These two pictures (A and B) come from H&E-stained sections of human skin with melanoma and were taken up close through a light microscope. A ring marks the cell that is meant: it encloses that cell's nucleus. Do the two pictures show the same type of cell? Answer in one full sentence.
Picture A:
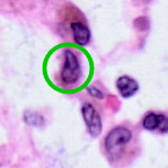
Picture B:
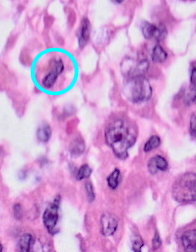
Yes, the two pictures both show “macrophages or monocytes”.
